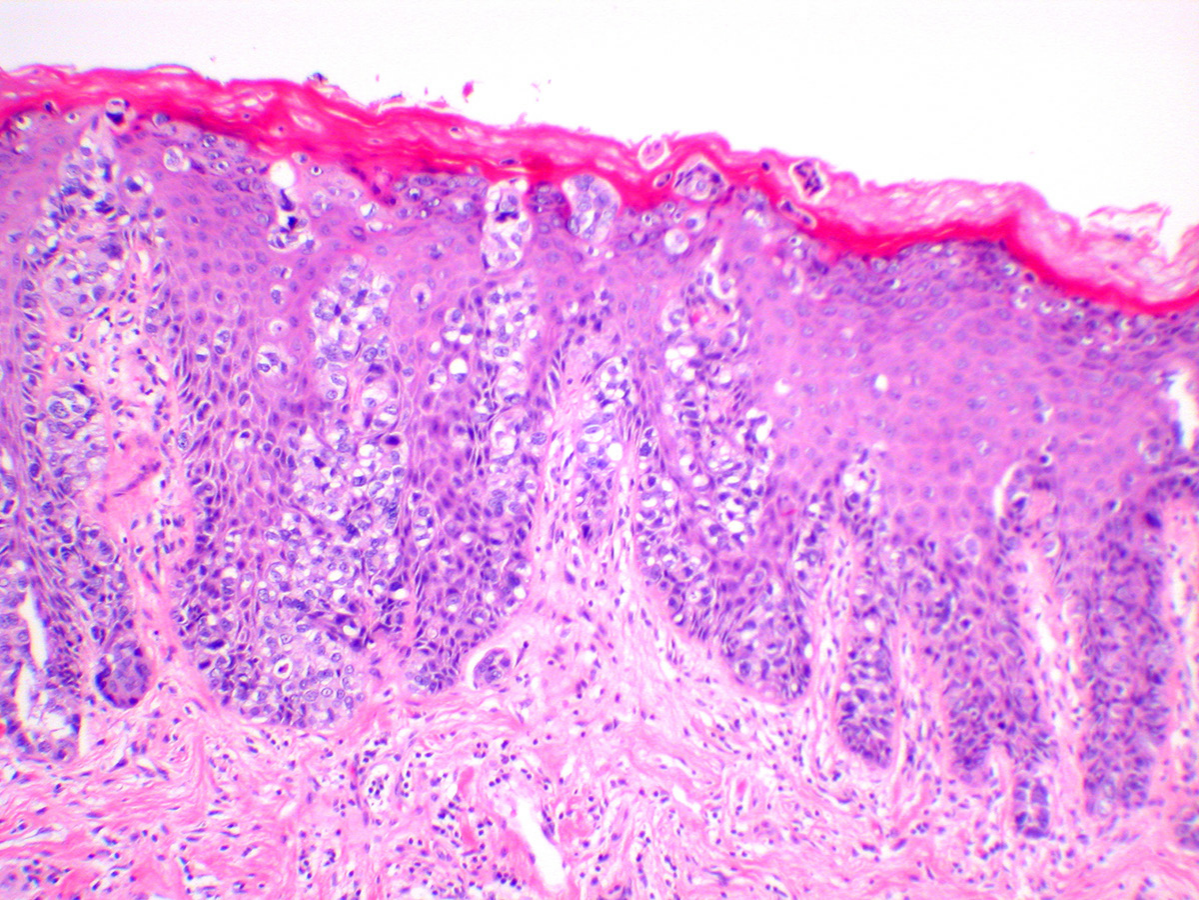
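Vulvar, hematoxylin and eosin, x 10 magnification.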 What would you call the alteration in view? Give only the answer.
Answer: Pagetoid spread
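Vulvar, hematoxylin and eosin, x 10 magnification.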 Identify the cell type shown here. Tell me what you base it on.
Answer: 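Large cells of Paget’s disease. Large round cells with pale, clear to vacuolated cytoplasm lie scattered among the squamous cells. These cells have large nuclei, some with visible nucleoli. They cluster most densely in the lower layers of the epidermis and along the rete ridges.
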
